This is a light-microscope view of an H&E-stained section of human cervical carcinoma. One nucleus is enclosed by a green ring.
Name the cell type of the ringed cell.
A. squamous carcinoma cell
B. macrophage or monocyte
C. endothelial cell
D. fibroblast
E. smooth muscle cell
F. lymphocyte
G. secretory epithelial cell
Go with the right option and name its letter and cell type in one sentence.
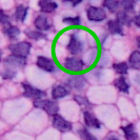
In short, option G: the ringed cell is a secretory epithelial cell.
